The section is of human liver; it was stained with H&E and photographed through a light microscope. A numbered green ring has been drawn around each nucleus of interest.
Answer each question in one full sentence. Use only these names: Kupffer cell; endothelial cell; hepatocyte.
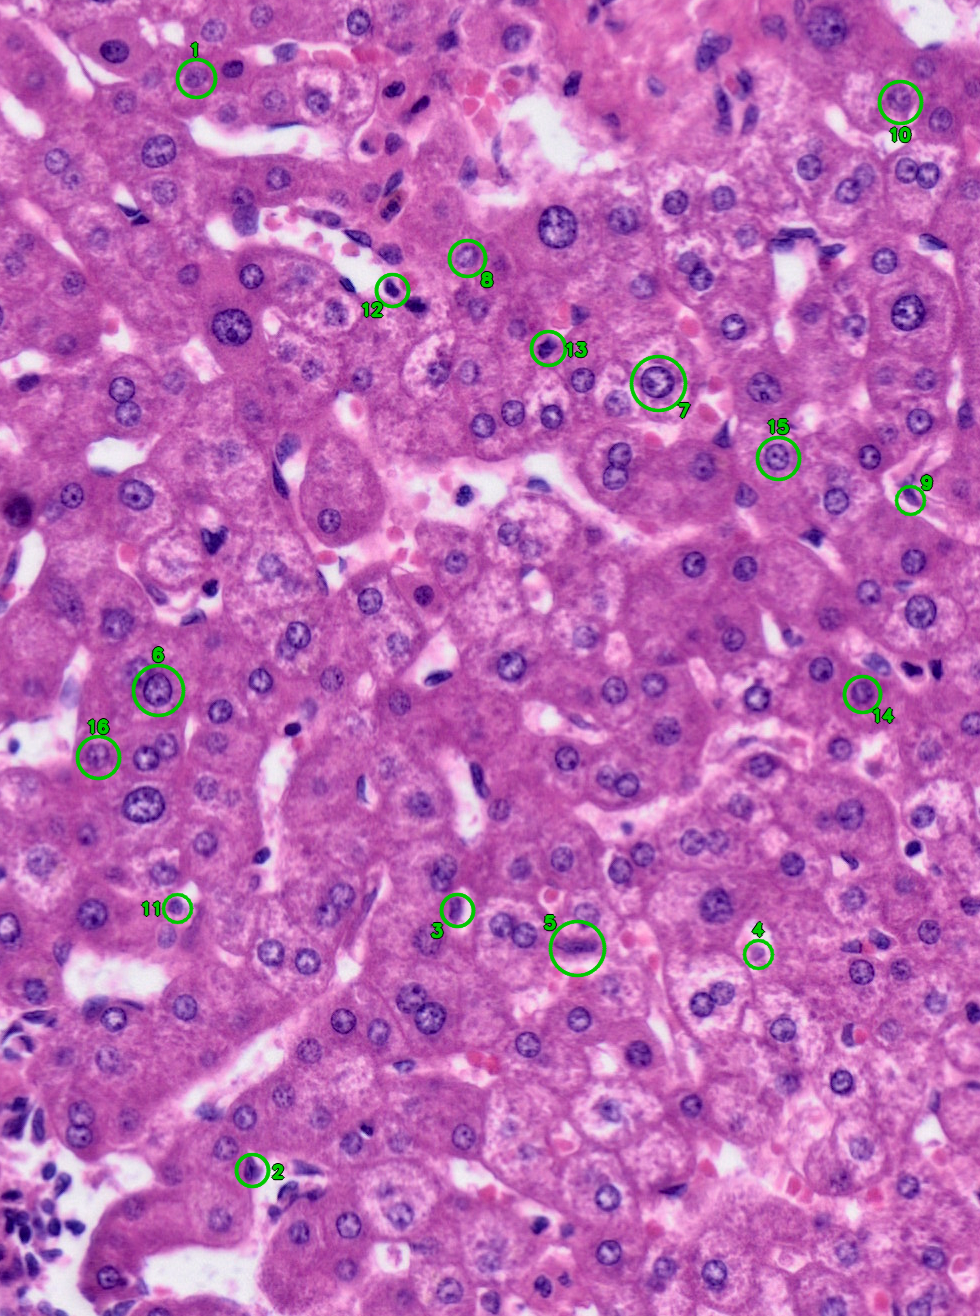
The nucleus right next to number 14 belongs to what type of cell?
It is an endothelial cell whose nucleus is nearest to number 14.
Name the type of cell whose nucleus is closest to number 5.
Closest to number 5 lies the nucleus of a hepatocyte.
